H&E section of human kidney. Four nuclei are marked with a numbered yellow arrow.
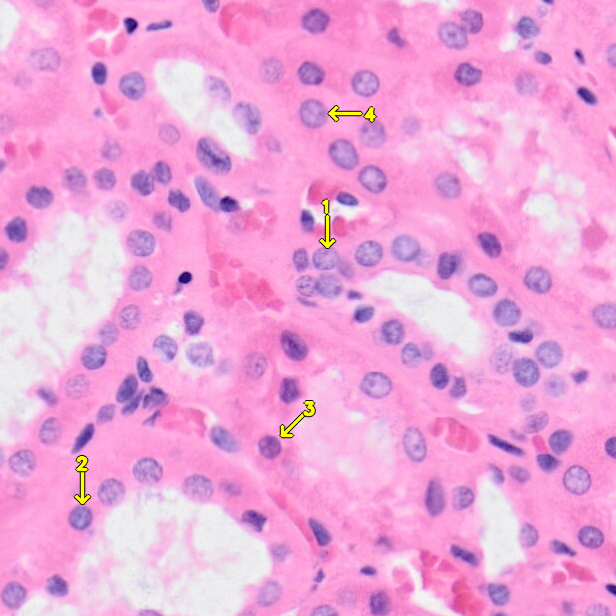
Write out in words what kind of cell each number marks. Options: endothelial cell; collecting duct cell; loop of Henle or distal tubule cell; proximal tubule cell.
Cell 1 is a collecting duct cell. Cell 2 is a loop of Henle or distal tubule cell. Cells 3 and 4 are proximal tubule cells.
